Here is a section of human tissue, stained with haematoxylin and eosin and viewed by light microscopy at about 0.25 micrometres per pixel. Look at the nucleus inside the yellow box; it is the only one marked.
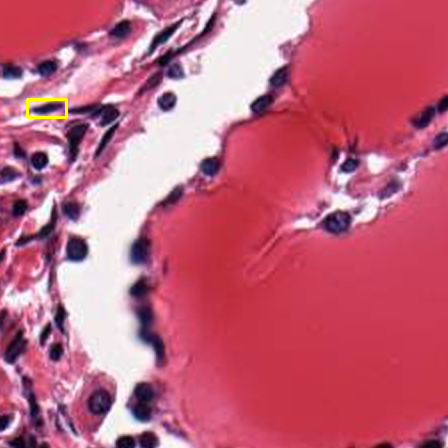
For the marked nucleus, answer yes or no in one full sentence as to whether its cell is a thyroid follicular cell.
No, the marked nucleus is attributed to a supporting cell, not to a thyroid follicular cell.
